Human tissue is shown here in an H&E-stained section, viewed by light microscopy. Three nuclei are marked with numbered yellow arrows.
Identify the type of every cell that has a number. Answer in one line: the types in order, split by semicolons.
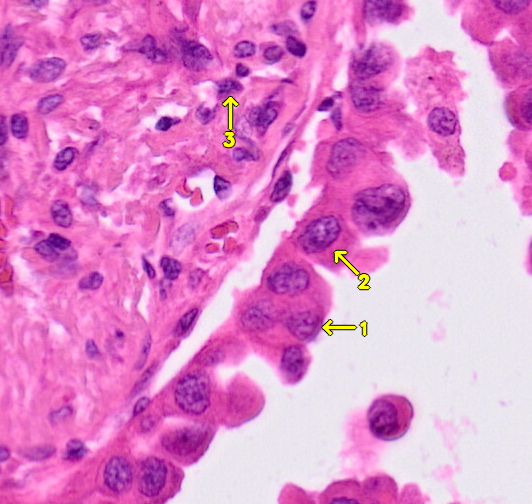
carcinoma cell; carcinoma cell; plasma cell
